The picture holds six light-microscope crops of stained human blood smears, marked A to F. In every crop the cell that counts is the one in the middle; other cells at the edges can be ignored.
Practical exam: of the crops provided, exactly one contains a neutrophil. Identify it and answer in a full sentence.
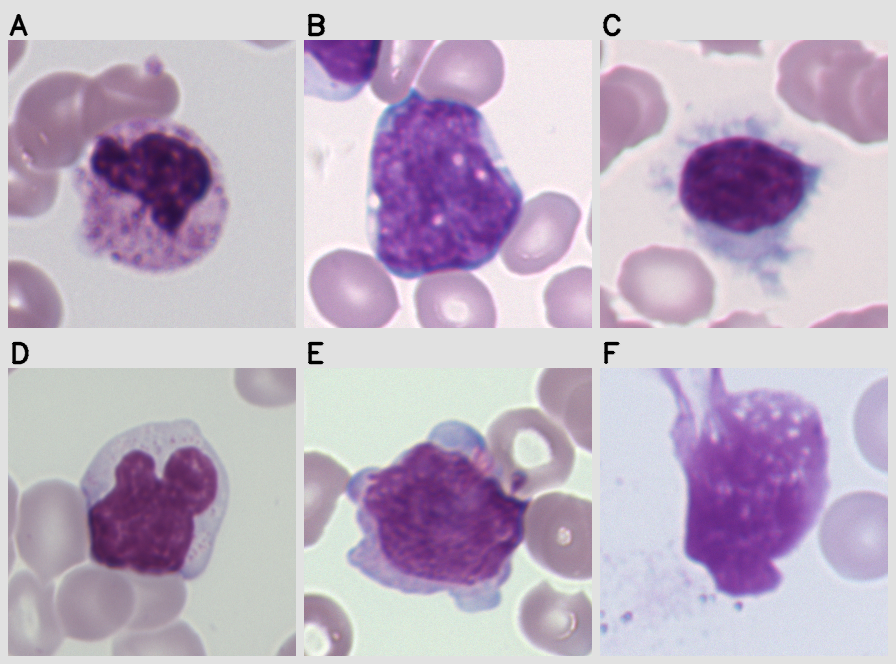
Crop A is the crop that shows a neutrophil in its middle.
